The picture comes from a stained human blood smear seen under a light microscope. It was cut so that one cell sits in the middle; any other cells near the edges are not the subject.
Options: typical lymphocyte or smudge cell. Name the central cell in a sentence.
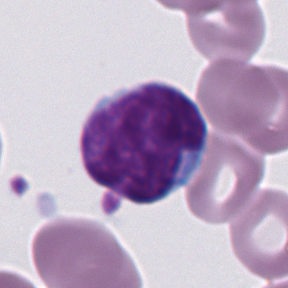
The cell that lies at the centre of the crop is a typical lymphocyte.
